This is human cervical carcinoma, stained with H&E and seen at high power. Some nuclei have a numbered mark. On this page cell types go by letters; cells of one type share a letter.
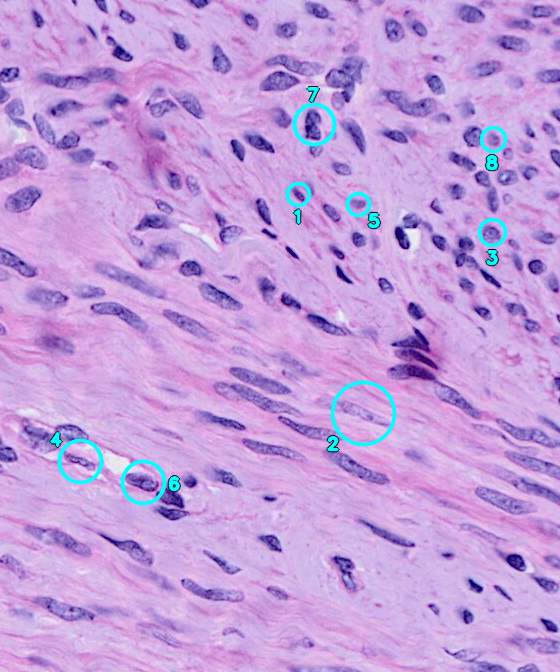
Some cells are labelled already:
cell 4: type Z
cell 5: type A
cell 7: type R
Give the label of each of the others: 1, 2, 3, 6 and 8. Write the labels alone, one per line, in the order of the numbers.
type A
type A
type A
type Z
type A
